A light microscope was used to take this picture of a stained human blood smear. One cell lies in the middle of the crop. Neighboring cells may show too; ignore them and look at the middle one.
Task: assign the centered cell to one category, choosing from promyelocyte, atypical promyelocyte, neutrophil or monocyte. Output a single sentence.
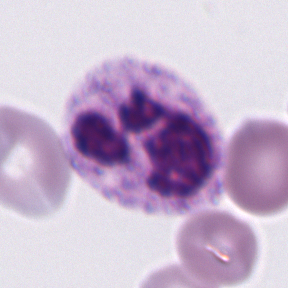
Framed in the middle of the crop is a neutrophil.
